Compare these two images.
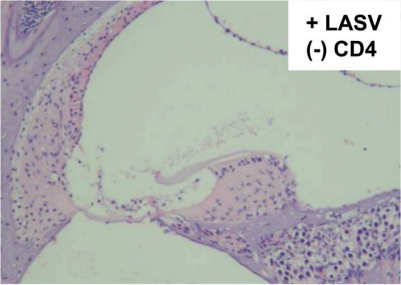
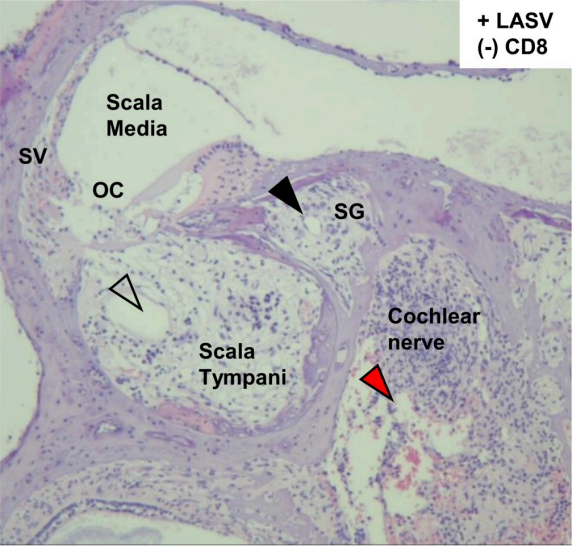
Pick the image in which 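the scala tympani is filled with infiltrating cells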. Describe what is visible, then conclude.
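First image: the lower fluid chamber visible at the bottom is clear and empty. Second image: the lower chamber is packed with loose tissue and many small dark nuclei.
Conclusion: the second image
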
